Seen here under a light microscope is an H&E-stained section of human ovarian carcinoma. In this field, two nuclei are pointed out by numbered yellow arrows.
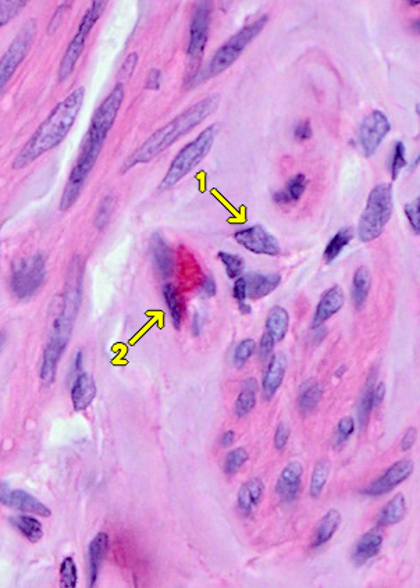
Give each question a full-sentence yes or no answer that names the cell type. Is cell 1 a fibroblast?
Yes, looking at number 1, that cell is a fibroblast.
